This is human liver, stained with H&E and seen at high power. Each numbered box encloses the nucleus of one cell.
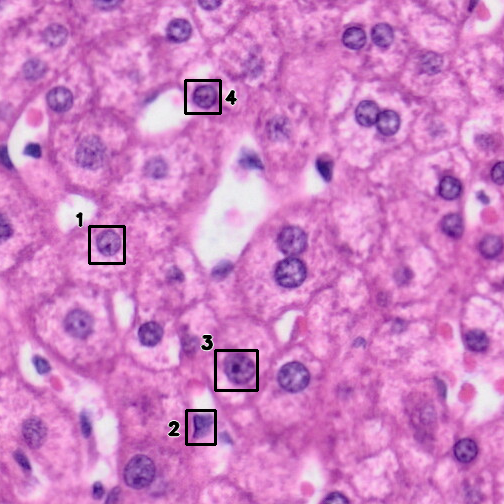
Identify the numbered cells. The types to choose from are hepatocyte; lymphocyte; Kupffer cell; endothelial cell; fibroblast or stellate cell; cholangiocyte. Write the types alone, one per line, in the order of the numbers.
hepatocyte
endothelial cell
hepatocyte
hepatocyte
